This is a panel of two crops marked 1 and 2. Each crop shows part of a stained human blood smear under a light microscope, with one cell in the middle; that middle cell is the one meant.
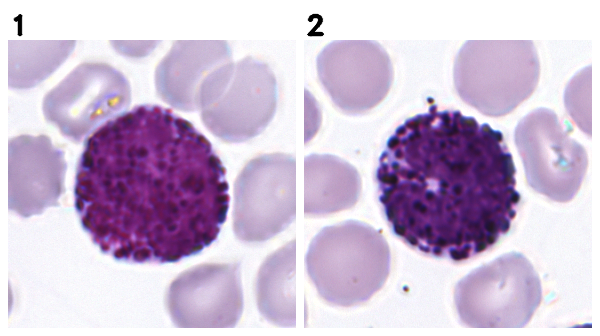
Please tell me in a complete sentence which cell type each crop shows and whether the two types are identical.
Yes, both crops show basophils in the centre of the field.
